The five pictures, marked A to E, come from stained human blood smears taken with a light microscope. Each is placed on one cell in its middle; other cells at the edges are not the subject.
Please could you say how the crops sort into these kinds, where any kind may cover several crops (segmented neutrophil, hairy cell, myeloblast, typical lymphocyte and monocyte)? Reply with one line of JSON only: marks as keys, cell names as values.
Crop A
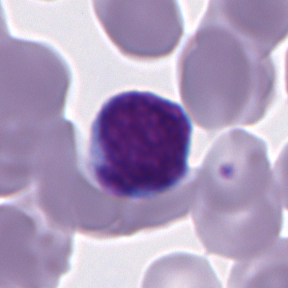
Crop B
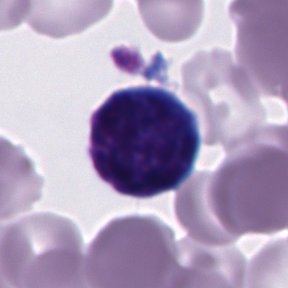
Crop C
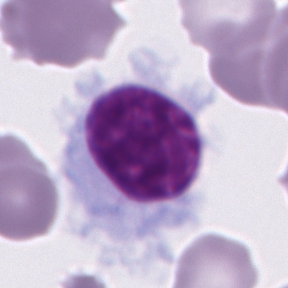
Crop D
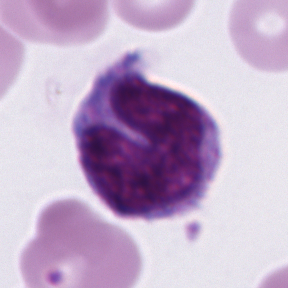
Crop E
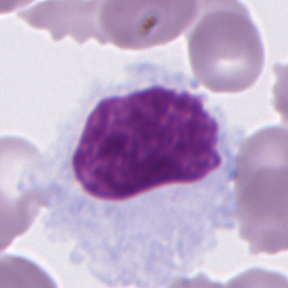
{"A": "typical lymphocyte", "B": "typical lymphocyte", "C": "hairy cell", "D": "monocyte", "E": "hairy cell"}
